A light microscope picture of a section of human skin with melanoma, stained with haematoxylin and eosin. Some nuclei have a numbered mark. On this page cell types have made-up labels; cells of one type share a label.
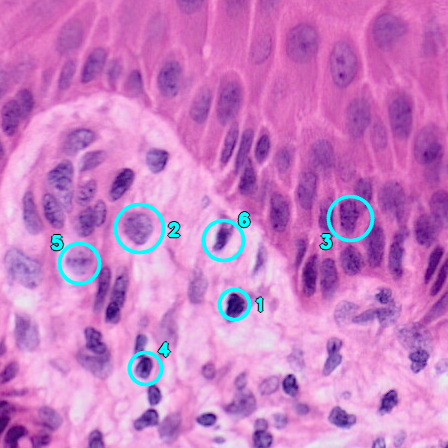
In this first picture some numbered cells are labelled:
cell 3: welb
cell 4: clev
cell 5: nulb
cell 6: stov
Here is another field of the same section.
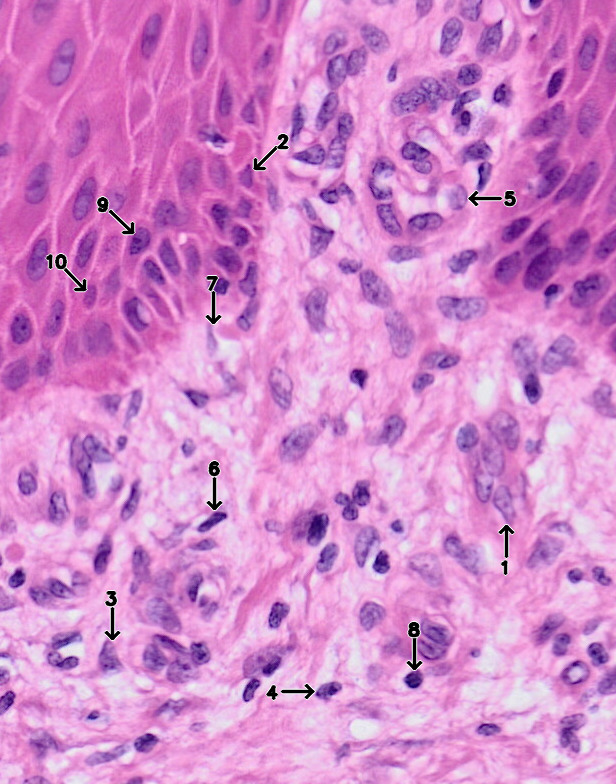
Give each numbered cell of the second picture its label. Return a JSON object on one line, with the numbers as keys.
{"1": "nulb", "2": "welb", "3": "stov", "4": "clev", "5": "nulb", "6": "clev", "7": "stov", "8": "clev", "9": "welb", "10": "welb"}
